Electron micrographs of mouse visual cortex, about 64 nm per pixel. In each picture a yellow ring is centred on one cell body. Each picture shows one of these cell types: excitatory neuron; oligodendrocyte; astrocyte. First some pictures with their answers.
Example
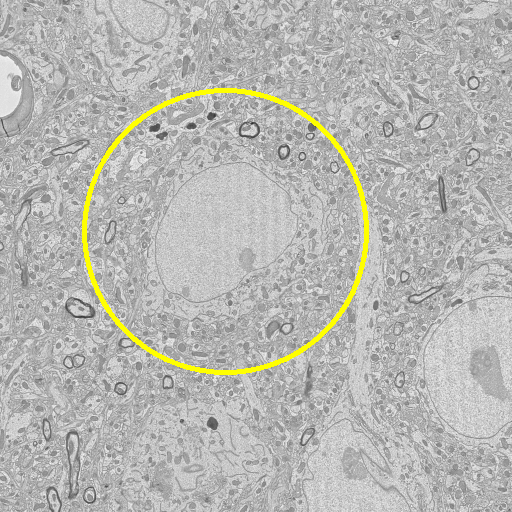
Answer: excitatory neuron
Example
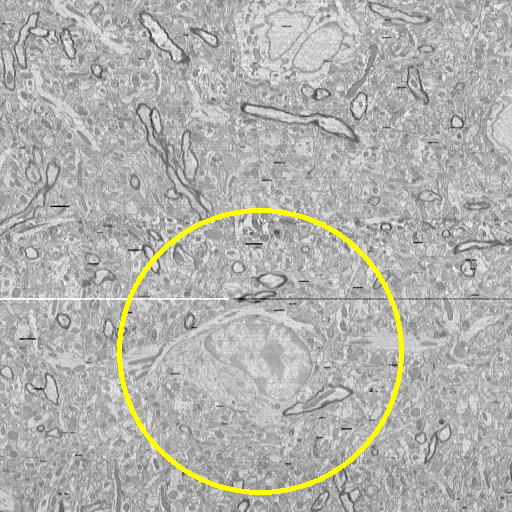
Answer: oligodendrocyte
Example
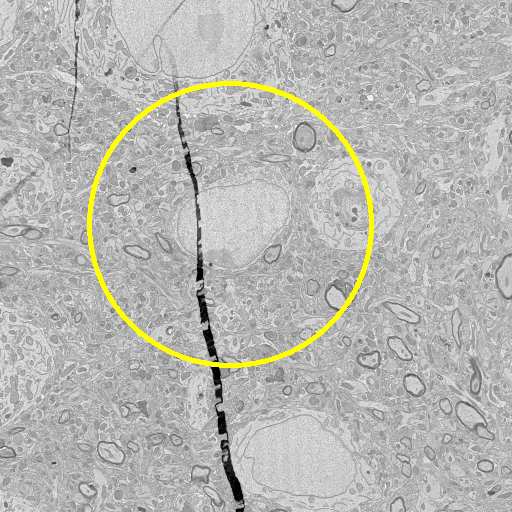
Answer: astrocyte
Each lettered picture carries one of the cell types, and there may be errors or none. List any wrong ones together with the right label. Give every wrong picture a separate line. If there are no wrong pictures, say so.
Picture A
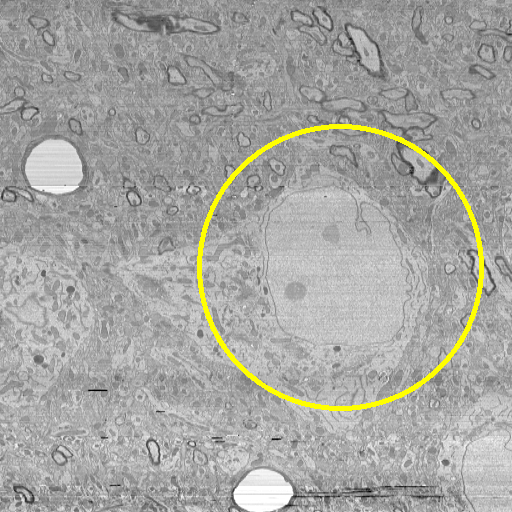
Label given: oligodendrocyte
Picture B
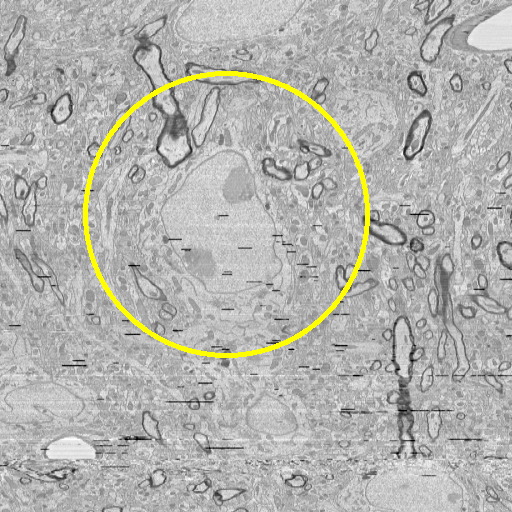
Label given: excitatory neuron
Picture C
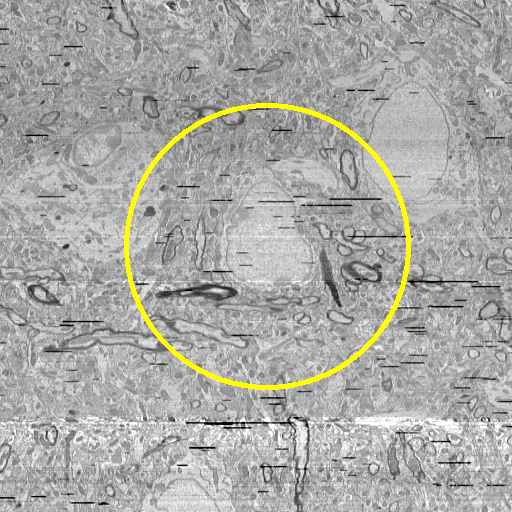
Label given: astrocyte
A: not oligodendrocyte but excitatory neuron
